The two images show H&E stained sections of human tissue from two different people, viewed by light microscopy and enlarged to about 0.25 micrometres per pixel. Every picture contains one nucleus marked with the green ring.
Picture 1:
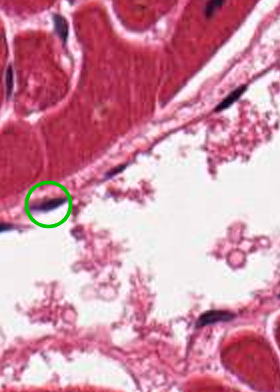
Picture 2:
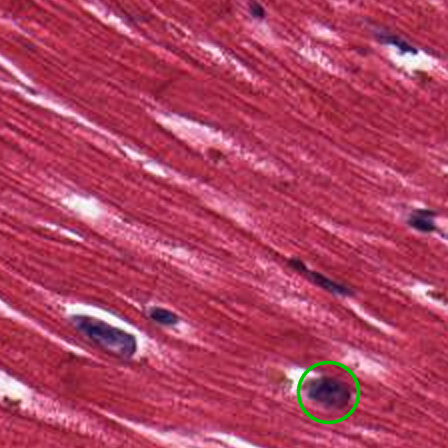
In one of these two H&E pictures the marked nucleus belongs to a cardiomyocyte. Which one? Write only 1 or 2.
2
